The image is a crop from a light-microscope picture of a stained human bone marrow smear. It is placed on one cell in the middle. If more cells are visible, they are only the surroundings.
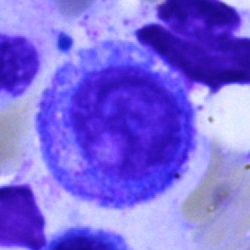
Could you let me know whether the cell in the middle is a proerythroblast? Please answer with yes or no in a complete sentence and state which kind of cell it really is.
No, the central cell is properly termed a promyelocyte, not a proerythroblast.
